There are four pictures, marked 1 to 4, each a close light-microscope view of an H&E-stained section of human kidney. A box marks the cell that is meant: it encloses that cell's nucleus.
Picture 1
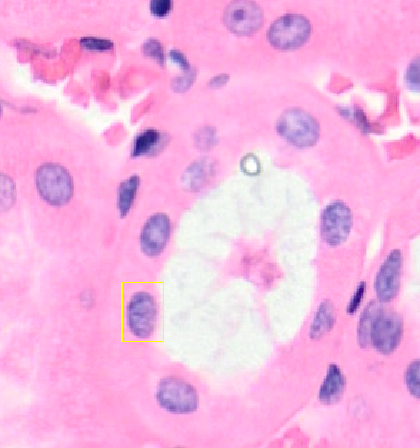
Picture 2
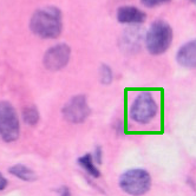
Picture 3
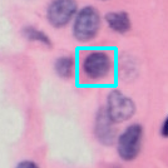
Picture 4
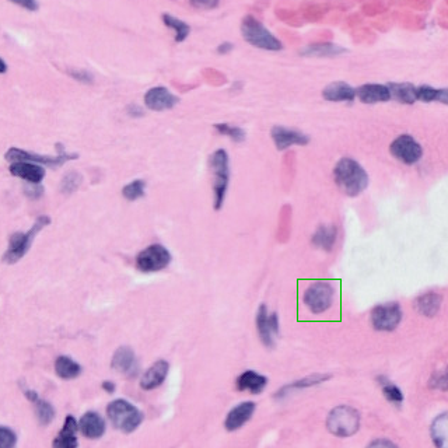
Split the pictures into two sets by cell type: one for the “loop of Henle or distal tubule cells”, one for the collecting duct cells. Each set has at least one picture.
1: loop of Henle or distal tubule cell
2: collecting duct cell
3: collecting duct cell
4: loop of Henle or distal tubule cell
